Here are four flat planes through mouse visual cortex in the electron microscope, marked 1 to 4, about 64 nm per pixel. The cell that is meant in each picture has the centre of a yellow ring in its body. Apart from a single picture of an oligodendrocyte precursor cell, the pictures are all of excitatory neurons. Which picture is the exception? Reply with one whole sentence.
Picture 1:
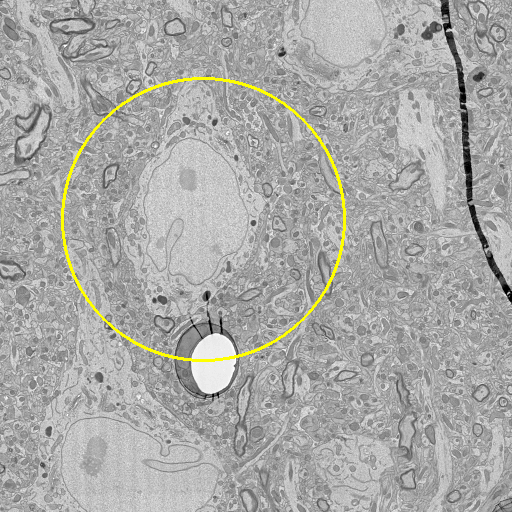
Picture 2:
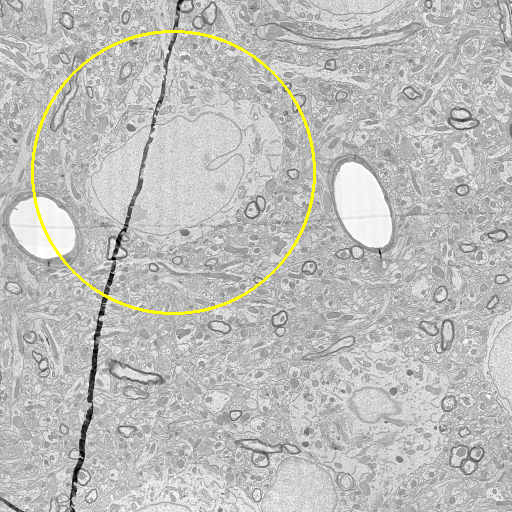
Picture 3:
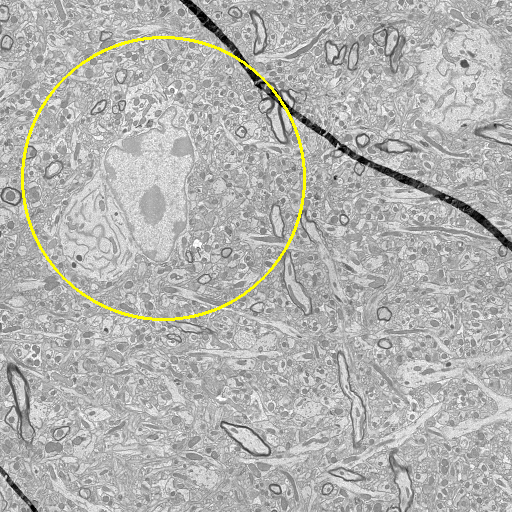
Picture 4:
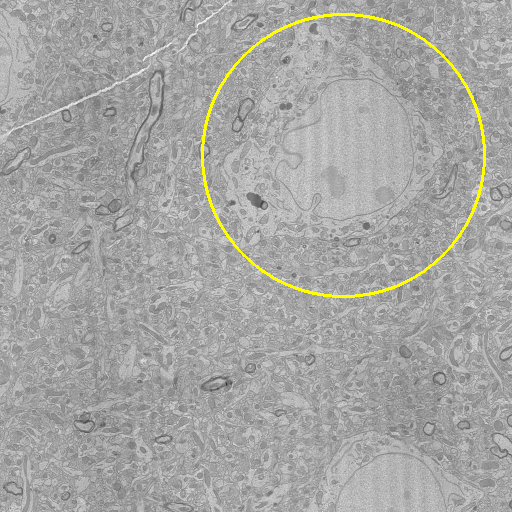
The picture with the oligodendrocyte precursor cell is 3.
